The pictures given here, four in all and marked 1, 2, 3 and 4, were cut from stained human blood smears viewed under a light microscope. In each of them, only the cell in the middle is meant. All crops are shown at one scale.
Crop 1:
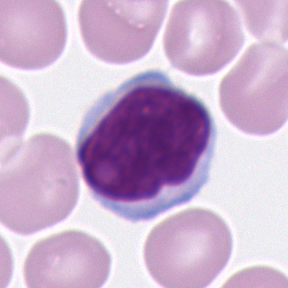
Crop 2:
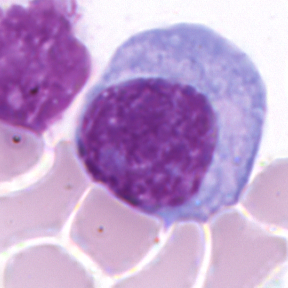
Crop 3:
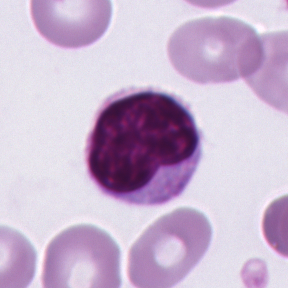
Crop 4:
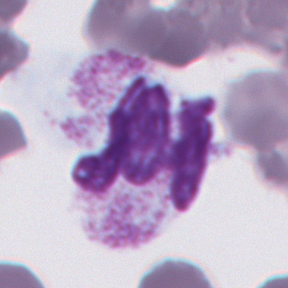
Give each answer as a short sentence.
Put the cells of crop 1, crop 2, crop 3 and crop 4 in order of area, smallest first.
The order is 3, 1, 4, 2, beginning with the smallest.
